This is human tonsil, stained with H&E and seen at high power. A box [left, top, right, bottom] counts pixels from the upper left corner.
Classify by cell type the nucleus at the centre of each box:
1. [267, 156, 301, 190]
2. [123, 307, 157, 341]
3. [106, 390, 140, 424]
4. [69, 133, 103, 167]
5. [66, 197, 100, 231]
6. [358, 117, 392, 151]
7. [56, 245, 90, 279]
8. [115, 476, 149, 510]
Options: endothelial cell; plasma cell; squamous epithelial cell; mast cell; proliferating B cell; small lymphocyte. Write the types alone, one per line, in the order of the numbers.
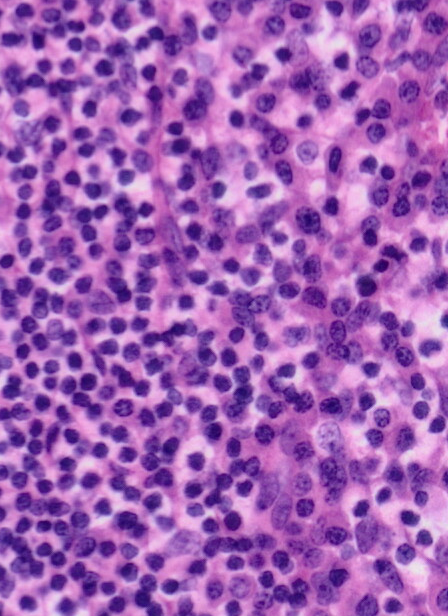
plasma cell
small lymphocyte
plasma cell
small lymphocyte
small lymphocyte
plasma cell
small lymphocyte
small lymphocyte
